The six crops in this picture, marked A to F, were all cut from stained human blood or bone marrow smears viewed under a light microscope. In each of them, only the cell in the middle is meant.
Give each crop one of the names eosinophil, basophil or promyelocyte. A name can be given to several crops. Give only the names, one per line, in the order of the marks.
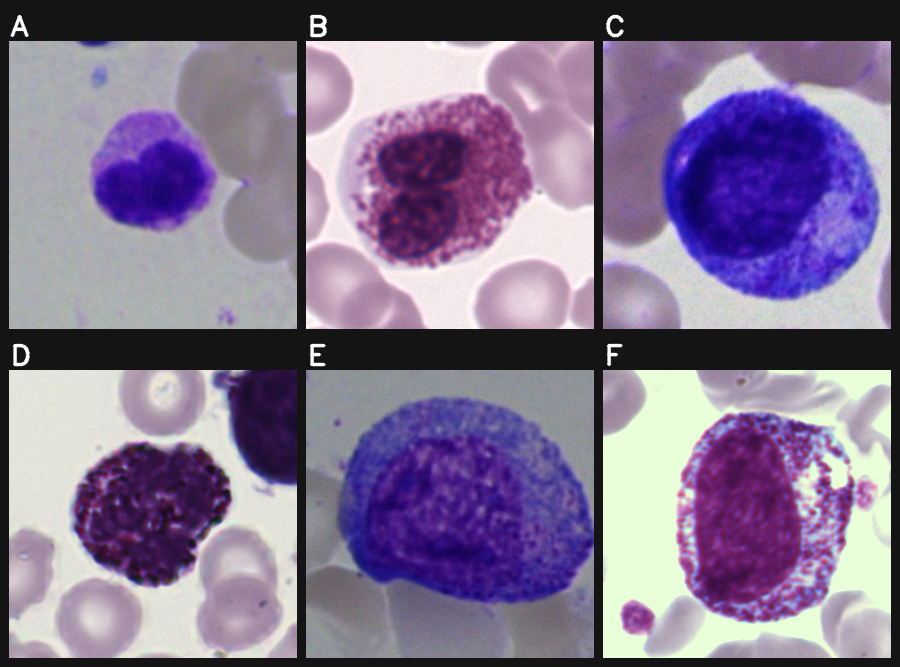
basophil
eosinophil
promyelocyte
basophil
promyelocyte
promyelocyte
